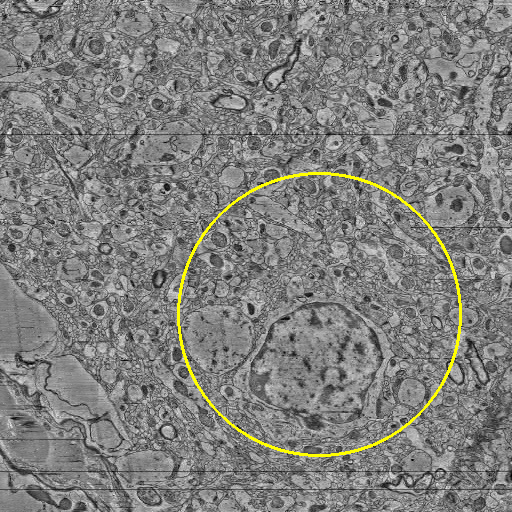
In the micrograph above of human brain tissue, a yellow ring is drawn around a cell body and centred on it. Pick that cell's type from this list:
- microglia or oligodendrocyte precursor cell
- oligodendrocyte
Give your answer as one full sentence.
Going by the list, a microglial cell or oligodendrocyte precursor cell is the cell on which the yellow ring is centred.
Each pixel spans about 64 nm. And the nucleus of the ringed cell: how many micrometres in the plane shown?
Roughly 8 micrometers across in this plane.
